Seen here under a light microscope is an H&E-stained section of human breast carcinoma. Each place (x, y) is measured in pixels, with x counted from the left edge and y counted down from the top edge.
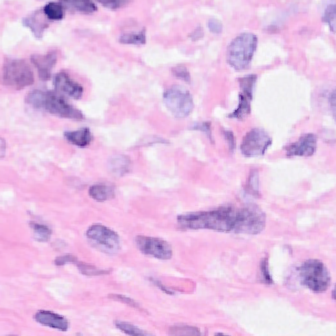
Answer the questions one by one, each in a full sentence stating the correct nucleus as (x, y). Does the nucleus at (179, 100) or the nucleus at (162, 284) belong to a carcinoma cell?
The nucleus at (179, 100) is housed in a carcinoma cell.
